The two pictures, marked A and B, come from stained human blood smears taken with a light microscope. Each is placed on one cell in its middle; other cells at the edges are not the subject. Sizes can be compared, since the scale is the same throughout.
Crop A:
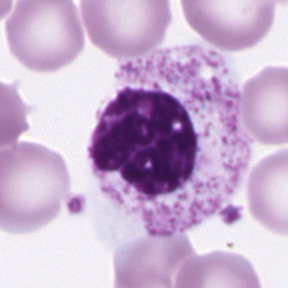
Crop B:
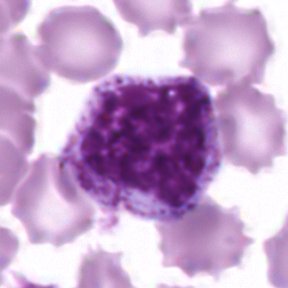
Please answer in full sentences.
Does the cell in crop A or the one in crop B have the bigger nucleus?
Crop B shows the larger nucleus; it covers about 1.5 times the area of the nucleus in crop A.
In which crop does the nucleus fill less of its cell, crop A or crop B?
It is the cell in crop A that is filled less by its nucleus.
